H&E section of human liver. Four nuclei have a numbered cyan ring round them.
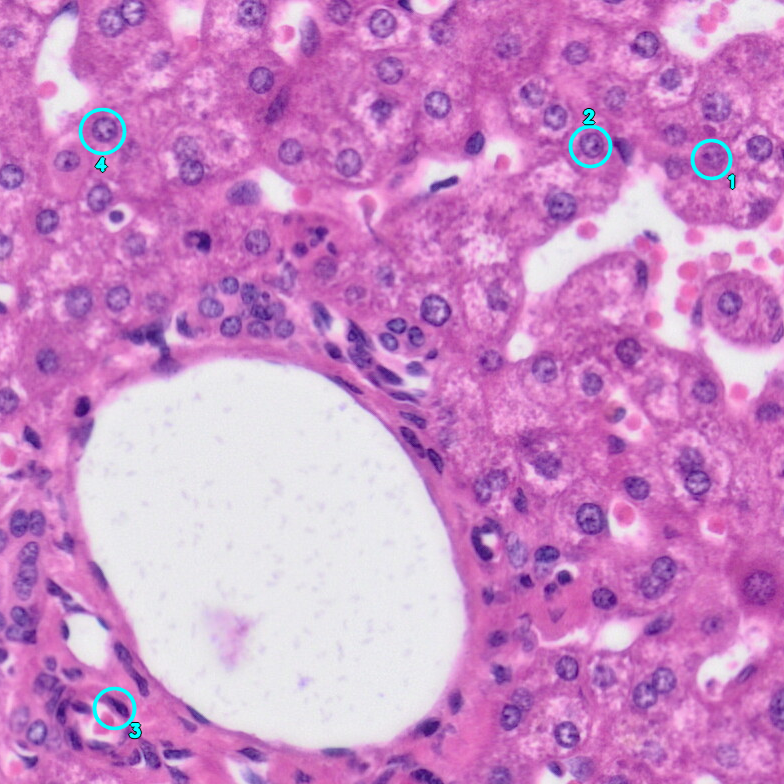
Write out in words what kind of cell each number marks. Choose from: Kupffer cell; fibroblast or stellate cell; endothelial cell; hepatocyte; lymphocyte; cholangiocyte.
Cell 1 is a hepatocyte, cell 2 is a hepatocyte, cell 3 is a fibroblast or stellate cell and cell 4 is a hepatocyte.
